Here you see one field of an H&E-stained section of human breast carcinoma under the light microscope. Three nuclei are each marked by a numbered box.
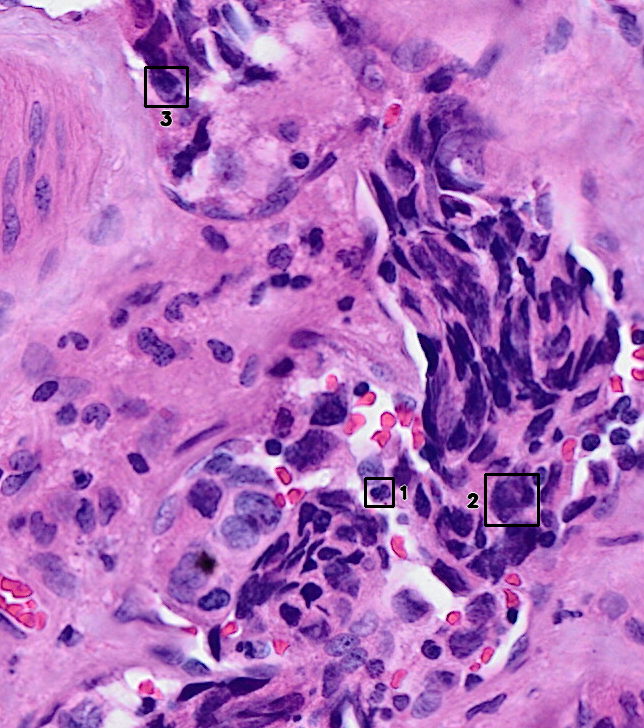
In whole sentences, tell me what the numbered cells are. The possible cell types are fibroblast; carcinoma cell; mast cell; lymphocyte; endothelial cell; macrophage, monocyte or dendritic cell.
Cell 1 is a lymphocyte. Cells 2 and 3 are carcinoma cells.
